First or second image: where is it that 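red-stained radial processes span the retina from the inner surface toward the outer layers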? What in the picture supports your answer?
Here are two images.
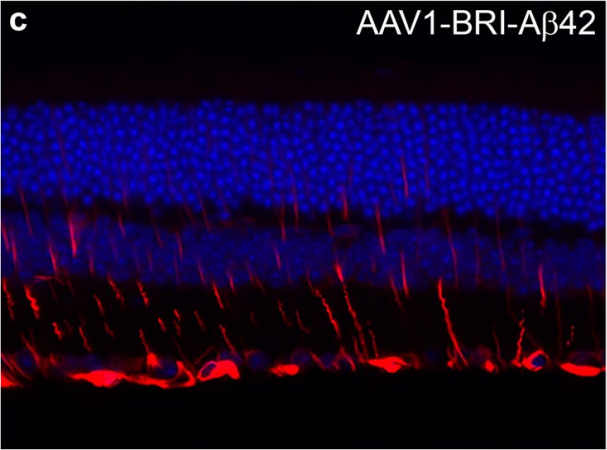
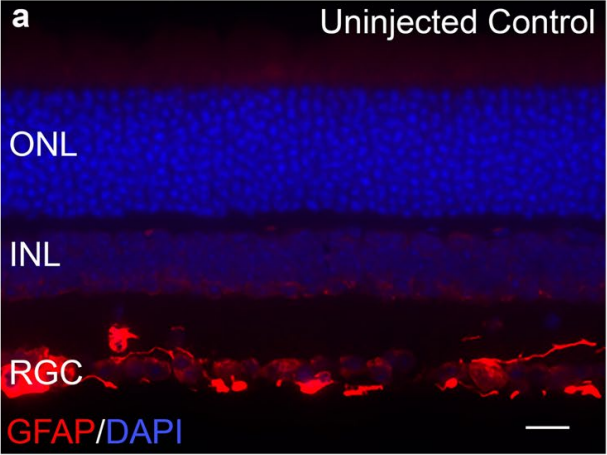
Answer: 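The first image. First image: many thin red radial lines cross the inner plexiform and inner nuclear layers. Second image: red staining stays at the innermost surface with no radial lines through the nuclear layers.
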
